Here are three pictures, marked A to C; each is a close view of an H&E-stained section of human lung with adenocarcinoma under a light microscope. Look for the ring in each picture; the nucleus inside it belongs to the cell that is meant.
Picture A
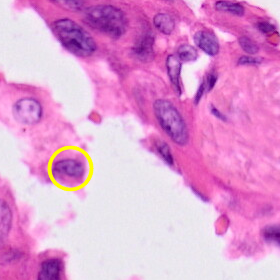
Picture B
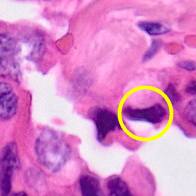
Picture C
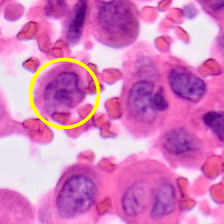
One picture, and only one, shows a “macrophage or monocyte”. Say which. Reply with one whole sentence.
The picture with the “macrophage or monocyte” is A.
